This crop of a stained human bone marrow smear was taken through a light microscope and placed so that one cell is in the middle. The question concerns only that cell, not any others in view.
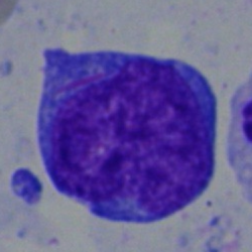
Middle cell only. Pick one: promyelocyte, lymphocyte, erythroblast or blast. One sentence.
The centrally located cell in the crop is a blast.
